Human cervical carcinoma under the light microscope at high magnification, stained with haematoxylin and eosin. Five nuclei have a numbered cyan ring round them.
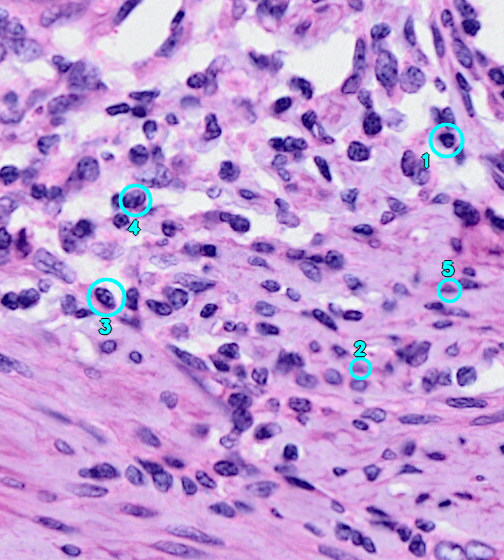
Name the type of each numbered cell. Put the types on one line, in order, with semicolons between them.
lymphocyte; smooth muscle cell; lymphocyte; lymphocyte; smooth muscle cell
